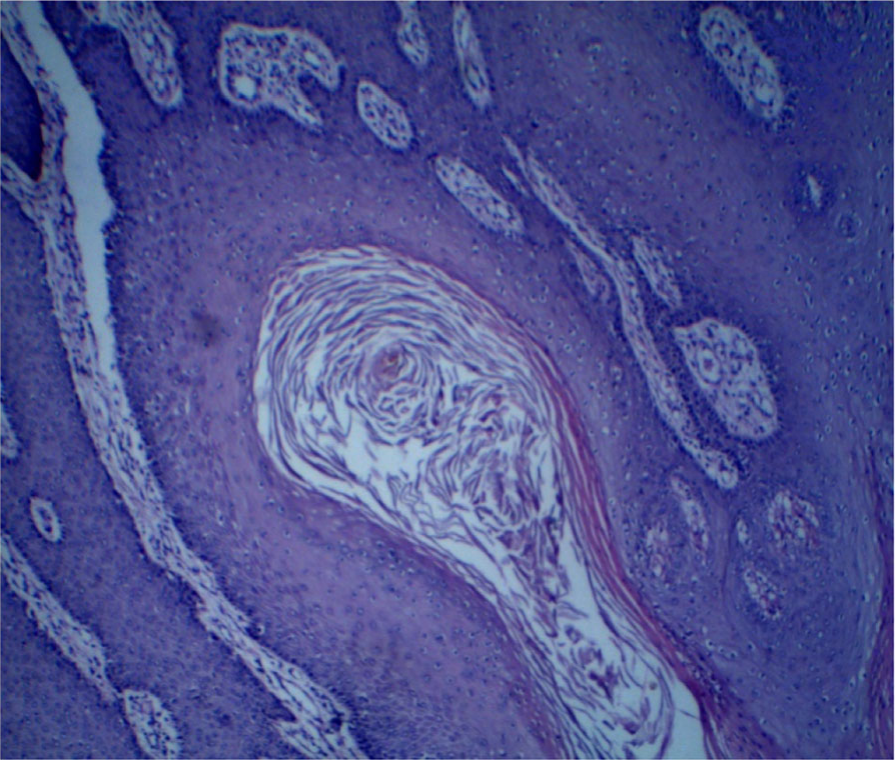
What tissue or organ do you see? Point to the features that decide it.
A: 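A thick epithelium of many cell layers surrounds the central cavity. Cells toward the cavity become flatter and there is a thin pink rim at the border. Thin strands and islands of loose connective tissue cut through the epithelium. The answer: stratified squamous epithelium.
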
